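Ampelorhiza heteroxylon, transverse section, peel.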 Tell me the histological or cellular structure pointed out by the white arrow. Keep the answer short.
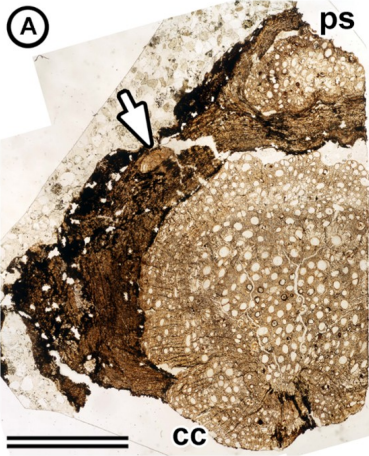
Smaller of two peripheral vascular cylinders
